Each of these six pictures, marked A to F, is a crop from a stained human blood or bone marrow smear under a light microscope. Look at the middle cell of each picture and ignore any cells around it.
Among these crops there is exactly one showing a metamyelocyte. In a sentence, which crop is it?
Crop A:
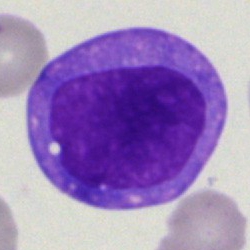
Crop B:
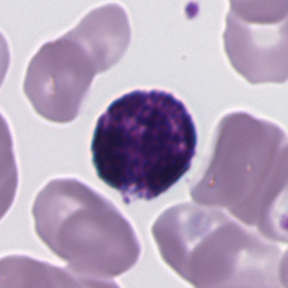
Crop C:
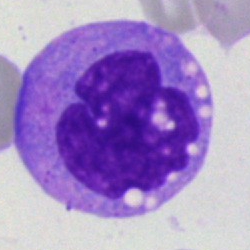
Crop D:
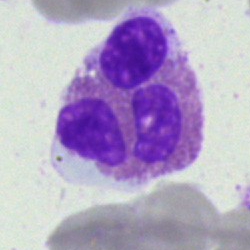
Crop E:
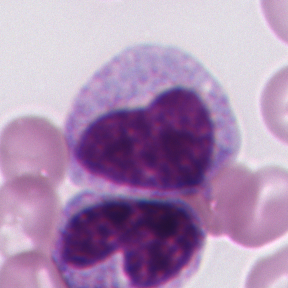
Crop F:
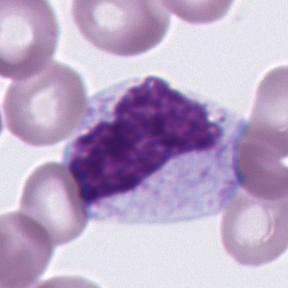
Crop E is where a metamyelocyte is shown.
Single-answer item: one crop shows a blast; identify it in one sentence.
When the crops are compared, crop A is the one showing a blast.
